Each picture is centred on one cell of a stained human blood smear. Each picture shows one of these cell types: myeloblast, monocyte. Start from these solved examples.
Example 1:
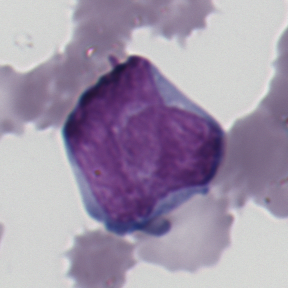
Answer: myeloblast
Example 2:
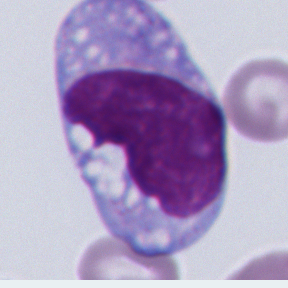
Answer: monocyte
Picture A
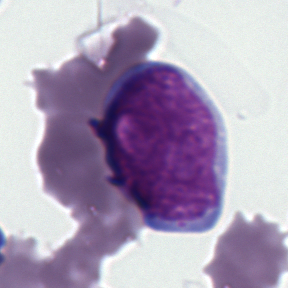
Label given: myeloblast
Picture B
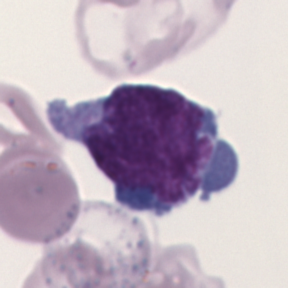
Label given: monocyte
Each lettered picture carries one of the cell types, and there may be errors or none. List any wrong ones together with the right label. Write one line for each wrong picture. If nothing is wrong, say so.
B: myeloblast, not monocyte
